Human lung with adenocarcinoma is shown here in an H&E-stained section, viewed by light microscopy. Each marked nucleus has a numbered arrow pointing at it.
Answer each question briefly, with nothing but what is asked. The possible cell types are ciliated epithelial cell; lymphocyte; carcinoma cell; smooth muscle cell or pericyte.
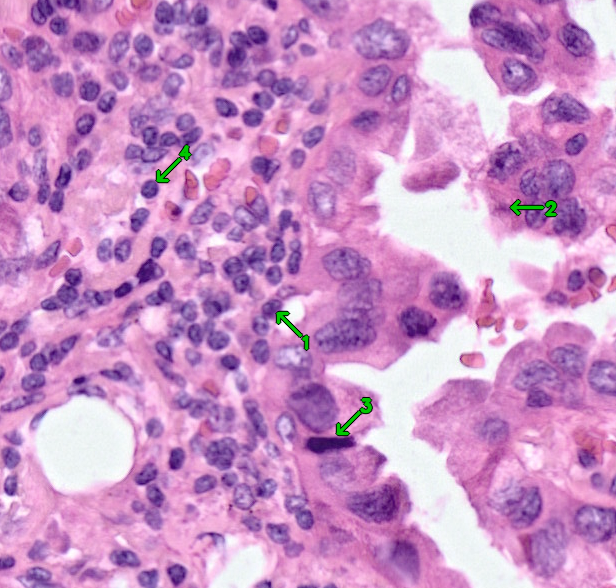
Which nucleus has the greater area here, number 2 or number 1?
1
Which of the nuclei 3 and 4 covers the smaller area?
4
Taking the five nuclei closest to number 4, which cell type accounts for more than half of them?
lymphocyte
